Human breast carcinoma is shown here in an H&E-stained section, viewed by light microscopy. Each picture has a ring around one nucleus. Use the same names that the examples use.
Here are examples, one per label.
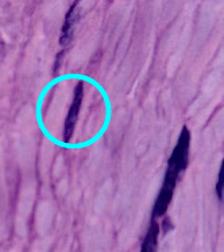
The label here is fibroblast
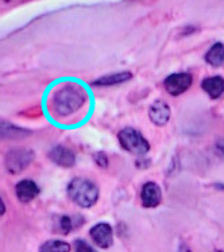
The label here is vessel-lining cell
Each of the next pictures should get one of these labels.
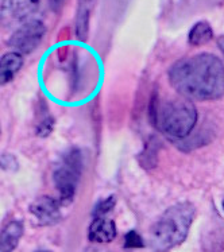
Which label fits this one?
vessel-lining cell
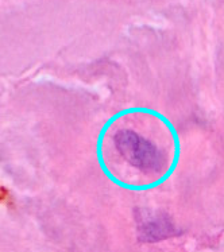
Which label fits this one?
fibroblast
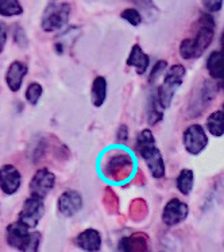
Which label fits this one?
vessel-lining cell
